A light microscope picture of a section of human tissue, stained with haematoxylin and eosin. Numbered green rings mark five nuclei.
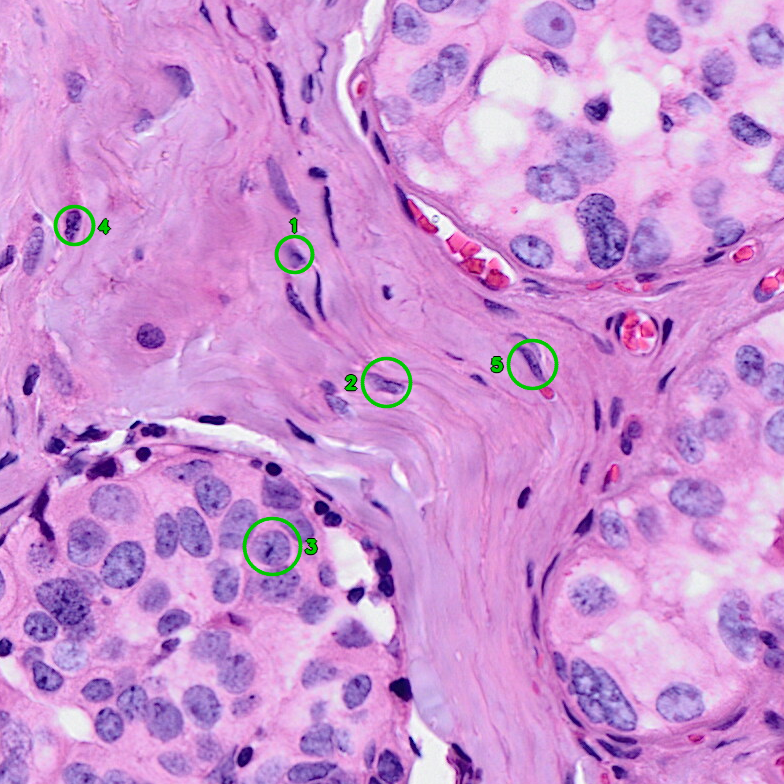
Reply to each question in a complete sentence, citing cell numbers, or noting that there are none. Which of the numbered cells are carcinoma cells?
Of the marked cells, the one numbered 3 is a carcinoma cell and the rest are not.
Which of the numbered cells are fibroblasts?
Within this tissue, the cells numbered 1, 2 and 5 are fibroblasts.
